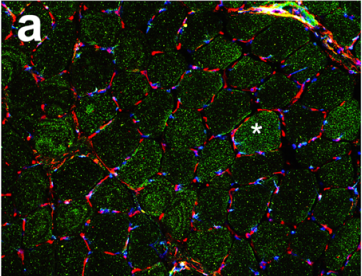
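A cross-section of skeletal muscle shows closely packed polygonal myofibers of fairly even size, each filled with a fine granular green signal. Thin red lines outline the fibres, and small blue nuclei sit at their edges and in the narrow spaces between them. The green lies mainly in the fibre interior rather than at its border, a cytoplasmic pattern.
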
